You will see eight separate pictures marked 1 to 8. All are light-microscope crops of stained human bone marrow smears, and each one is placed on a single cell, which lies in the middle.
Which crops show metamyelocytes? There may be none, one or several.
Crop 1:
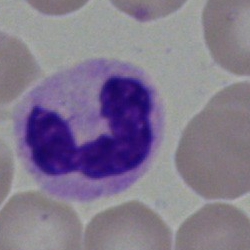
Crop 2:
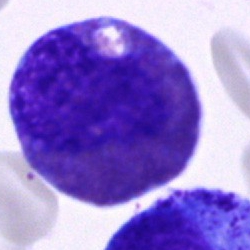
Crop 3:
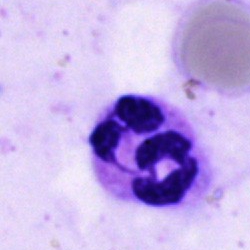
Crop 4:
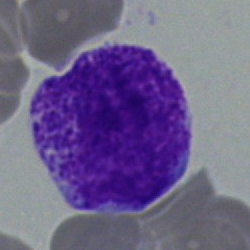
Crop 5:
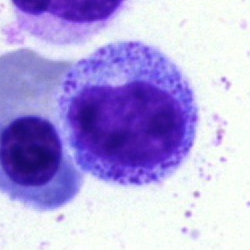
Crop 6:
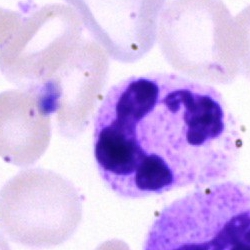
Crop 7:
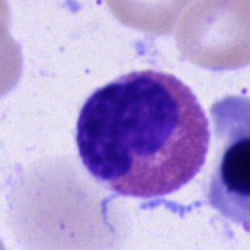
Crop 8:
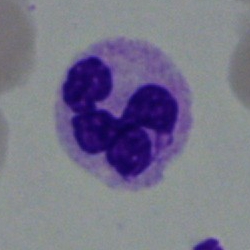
none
